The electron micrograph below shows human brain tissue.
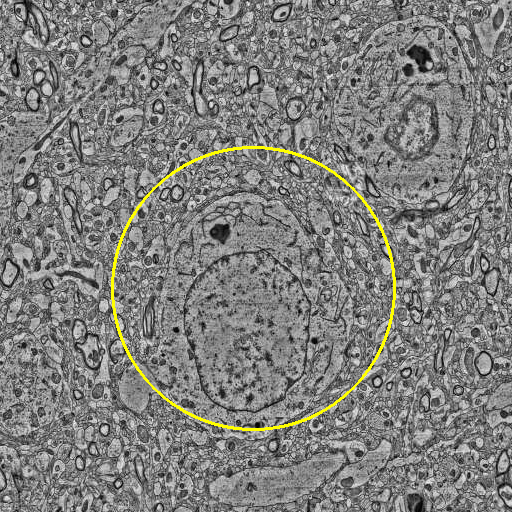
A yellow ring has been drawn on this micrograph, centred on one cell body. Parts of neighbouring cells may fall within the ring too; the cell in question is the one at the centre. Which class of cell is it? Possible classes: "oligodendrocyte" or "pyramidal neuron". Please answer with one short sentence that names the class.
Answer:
In the centre of the ring sits a pyramidal neuron.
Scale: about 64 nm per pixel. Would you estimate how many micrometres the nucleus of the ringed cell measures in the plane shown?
The nucleus has a long axis of about 10 micrometres and a short axis of about 8 micrometres in this plane.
